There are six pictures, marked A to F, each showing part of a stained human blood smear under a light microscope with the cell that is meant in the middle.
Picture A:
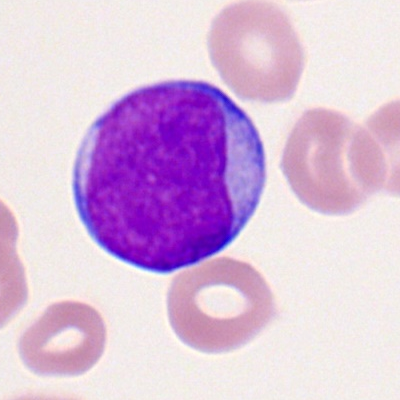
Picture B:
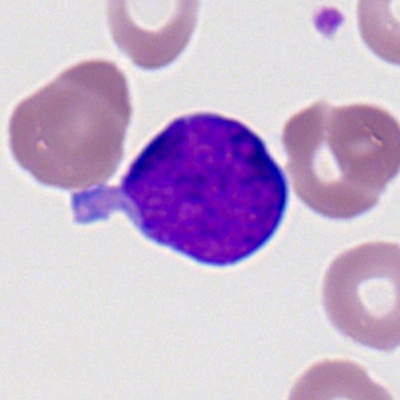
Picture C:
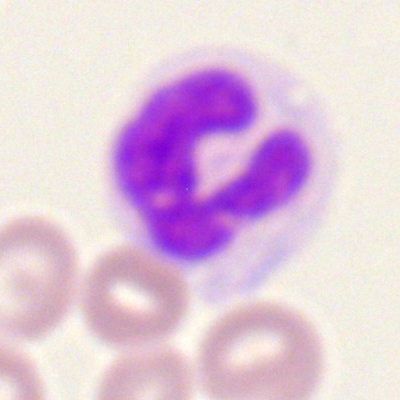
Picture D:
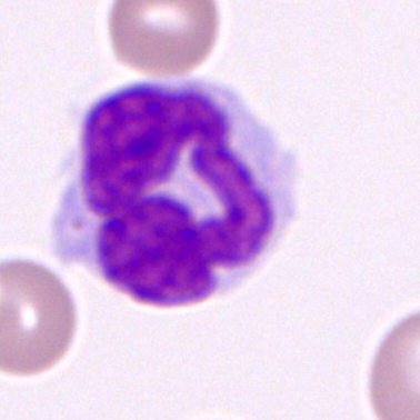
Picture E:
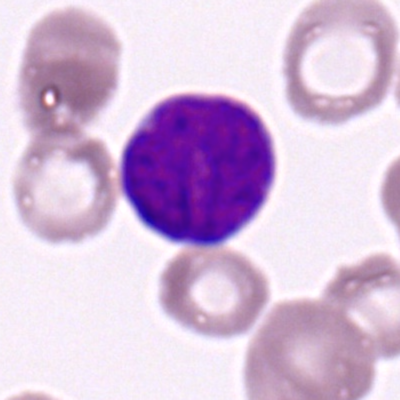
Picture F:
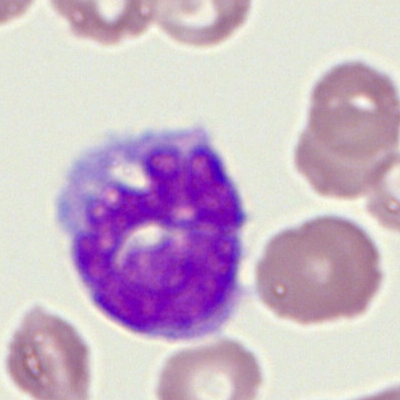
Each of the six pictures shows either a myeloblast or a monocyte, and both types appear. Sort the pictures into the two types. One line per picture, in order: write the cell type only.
myeloblast
myeloblast
monocyte
monocyte
myeloblast
monocyte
